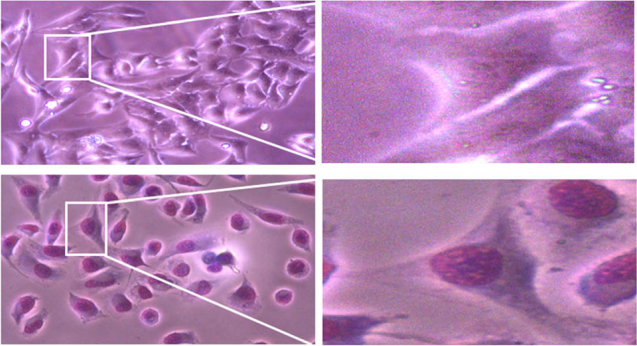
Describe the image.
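Unstained, they are flat, polygonal to spindle-shaped and spread out as a loose monolayer with bright phase halos at their edges. The nuclei are fairly uniform and centrally placed. The nuclei are surrounded by pale, lilac cytoplasm that tapers into short processes. A few rounded cells lie among the spread ones.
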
